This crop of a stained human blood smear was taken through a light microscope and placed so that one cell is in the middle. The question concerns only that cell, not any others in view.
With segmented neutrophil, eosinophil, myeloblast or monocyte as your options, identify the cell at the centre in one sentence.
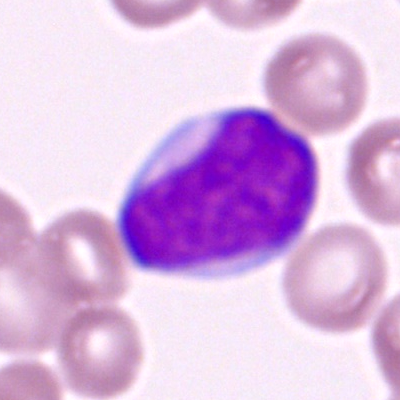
In this crop, the cell at the very middle is a myeloblast.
